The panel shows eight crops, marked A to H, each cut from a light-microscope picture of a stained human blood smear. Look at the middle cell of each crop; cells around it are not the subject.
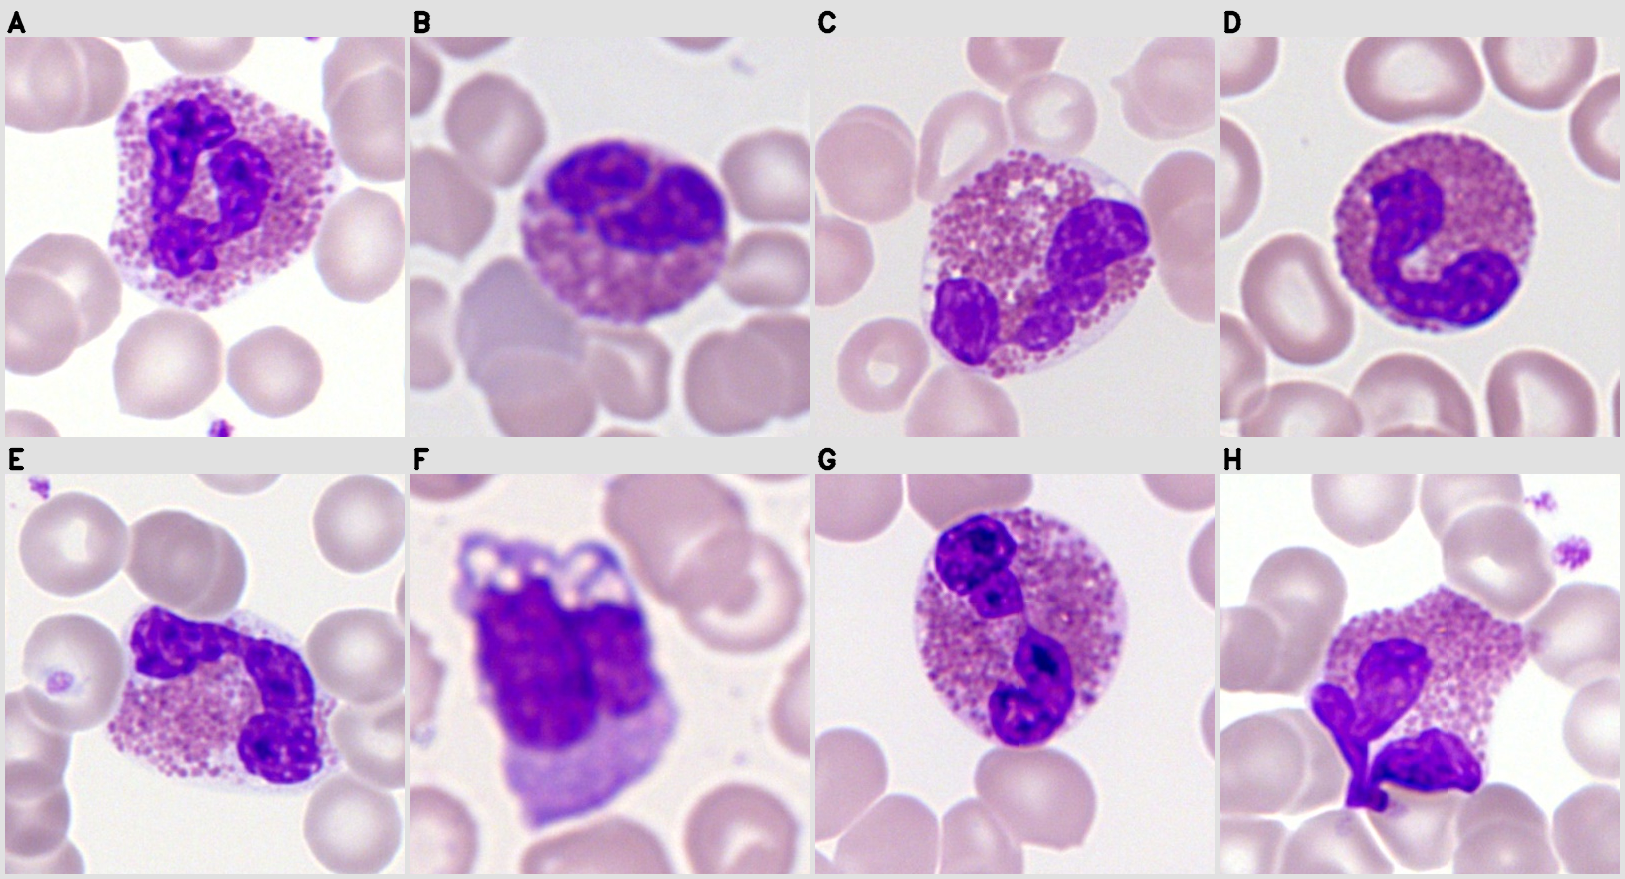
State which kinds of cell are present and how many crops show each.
eosinophil: 7
monocyte: 1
